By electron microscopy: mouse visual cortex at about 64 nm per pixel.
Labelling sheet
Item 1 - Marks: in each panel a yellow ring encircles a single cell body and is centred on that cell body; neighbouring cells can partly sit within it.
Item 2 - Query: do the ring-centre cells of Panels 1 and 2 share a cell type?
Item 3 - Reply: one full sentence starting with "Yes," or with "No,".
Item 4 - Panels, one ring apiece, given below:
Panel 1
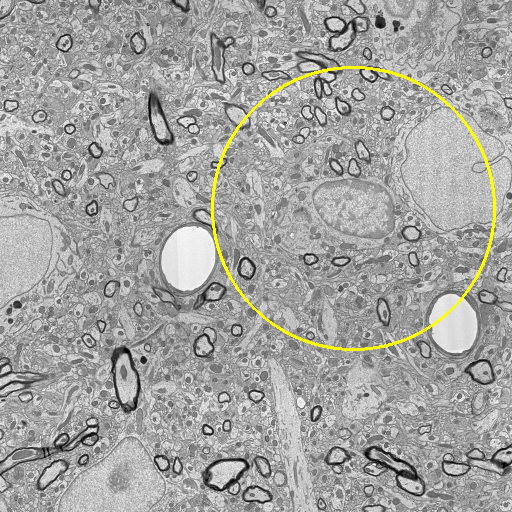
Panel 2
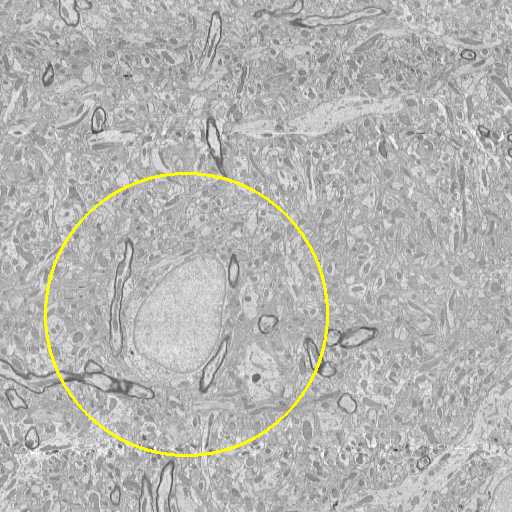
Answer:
No, Panel 1 and Panel 2 show two cell types at the centres of their rings.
